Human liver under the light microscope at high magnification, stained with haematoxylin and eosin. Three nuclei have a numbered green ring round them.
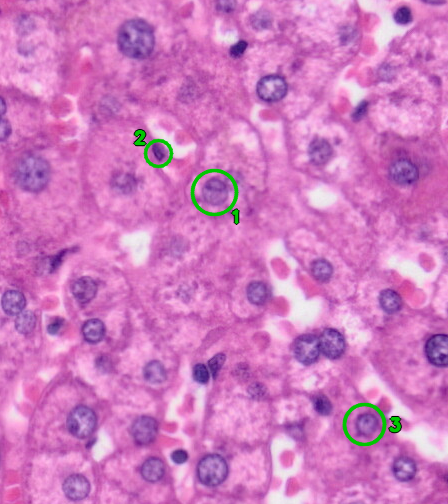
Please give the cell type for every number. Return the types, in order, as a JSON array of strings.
["hepatocyte", "Kupffer cell", "hepatocyte"]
